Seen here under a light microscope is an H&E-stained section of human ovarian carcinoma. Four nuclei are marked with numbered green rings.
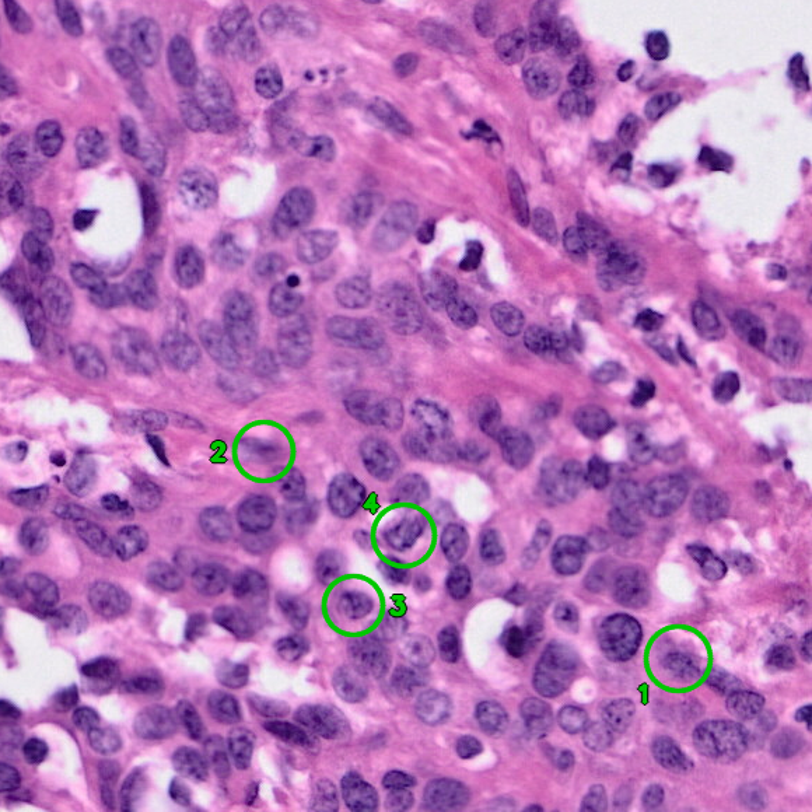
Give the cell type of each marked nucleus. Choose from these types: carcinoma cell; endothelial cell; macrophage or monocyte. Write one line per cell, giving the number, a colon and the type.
1: carcinoma cell
2: endothelial cell
3: macrophage or monocyte
4: macrophage or monocyte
